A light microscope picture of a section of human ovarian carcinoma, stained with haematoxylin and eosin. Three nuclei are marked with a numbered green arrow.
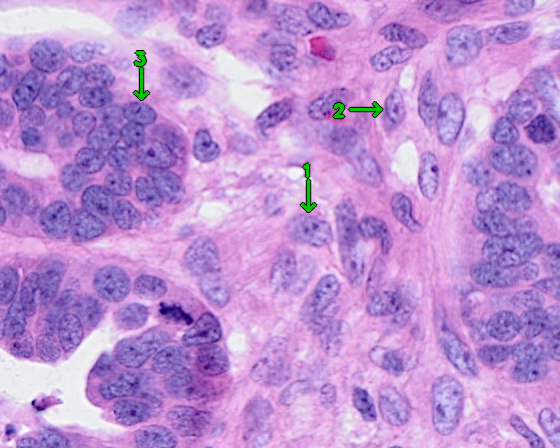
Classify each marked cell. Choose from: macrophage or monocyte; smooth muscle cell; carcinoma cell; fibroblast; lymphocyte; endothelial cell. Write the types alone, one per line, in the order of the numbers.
fibroblast
fibroblast
carcinoma cell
